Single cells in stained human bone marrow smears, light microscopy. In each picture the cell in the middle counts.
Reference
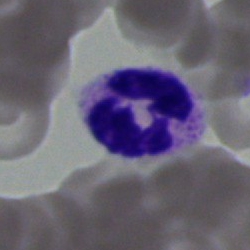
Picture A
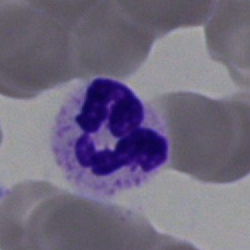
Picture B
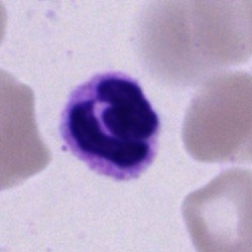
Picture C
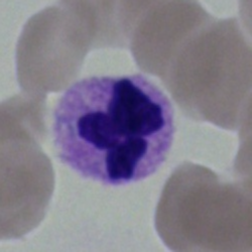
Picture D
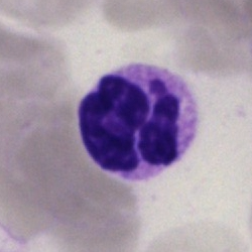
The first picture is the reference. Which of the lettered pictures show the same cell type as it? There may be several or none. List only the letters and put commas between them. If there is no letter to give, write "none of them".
A, B, C, D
